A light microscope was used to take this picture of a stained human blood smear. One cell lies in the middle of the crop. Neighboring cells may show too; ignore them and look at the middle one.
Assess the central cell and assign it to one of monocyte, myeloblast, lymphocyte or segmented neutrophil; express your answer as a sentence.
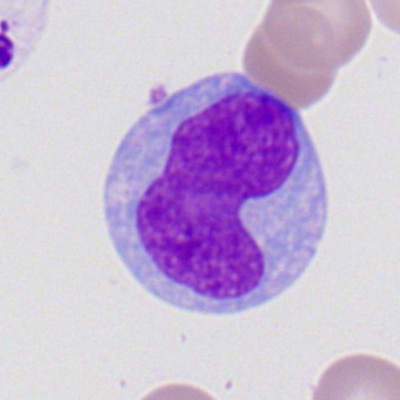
By classification, the middle cell of this crop is a monocyte.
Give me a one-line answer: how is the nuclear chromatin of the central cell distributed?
The chromatin is fine; coarse clumps are not a feature here.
